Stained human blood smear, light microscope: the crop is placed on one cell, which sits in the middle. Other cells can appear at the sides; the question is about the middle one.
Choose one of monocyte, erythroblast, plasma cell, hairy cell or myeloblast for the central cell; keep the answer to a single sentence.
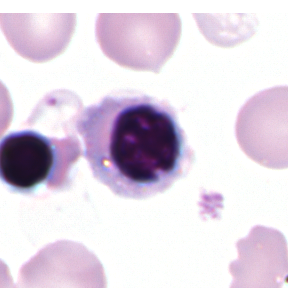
Here the centrally located cell is an erythroblast.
